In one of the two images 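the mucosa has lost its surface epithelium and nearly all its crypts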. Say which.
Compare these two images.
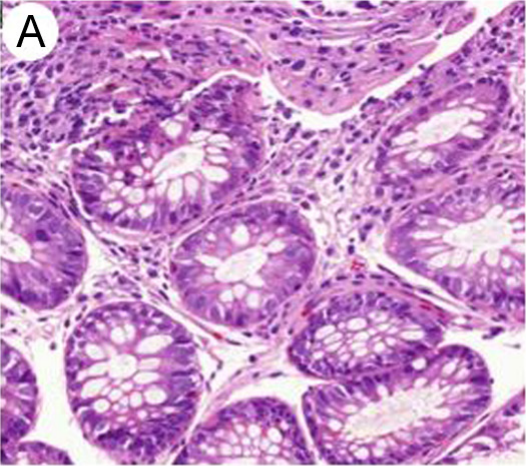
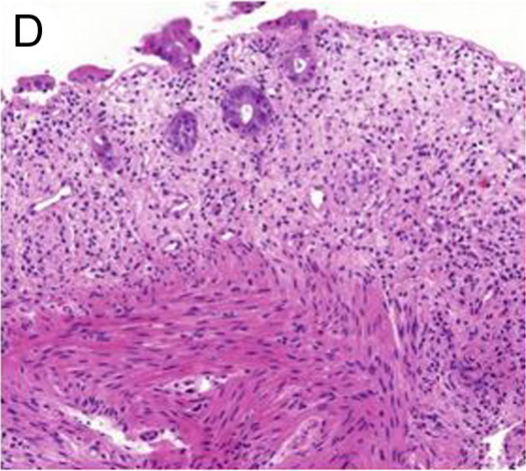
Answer: the second image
